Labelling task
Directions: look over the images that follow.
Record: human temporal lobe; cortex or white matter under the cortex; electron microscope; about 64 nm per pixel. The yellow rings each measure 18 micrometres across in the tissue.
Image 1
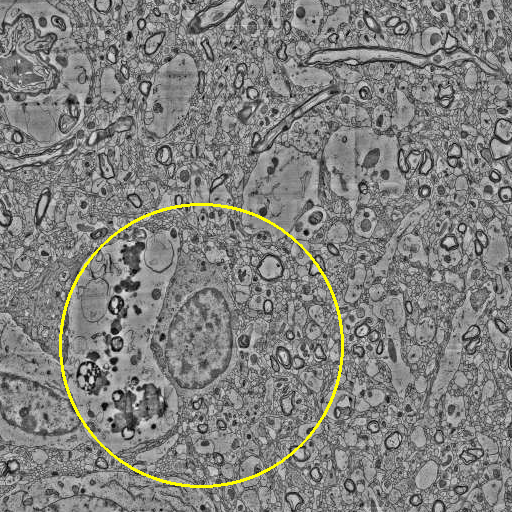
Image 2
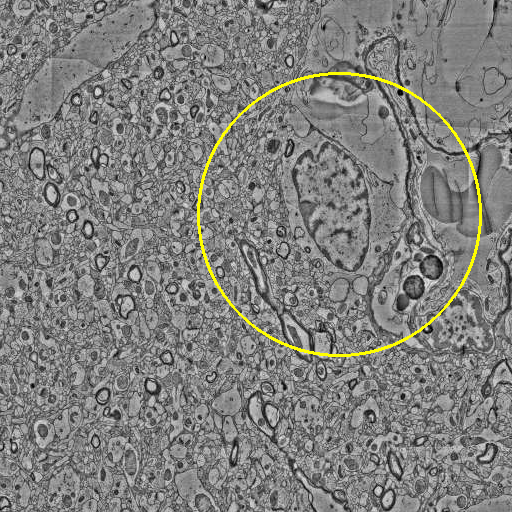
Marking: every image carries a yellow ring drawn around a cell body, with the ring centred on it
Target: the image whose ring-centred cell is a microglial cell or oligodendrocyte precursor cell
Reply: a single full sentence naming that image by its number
The requested cell sits at the ring's centre in Image 2.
